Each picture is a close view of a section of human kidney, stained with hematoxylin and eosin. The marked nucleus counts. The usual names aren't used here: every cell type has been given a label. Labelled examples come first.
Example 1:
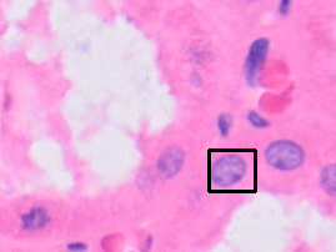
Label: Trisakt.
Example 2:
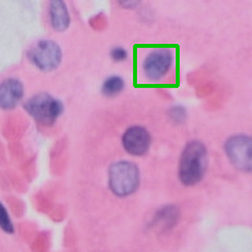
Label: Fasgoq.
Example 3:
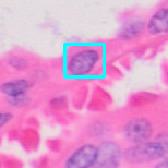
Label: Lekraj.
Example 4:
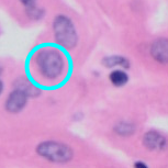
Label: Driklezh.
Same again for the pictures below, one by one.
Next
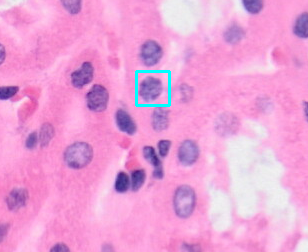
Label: Lekraj.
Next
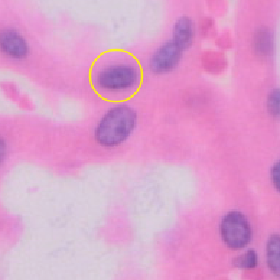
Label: Driklezh.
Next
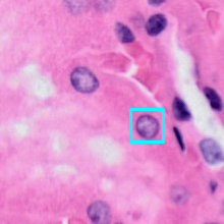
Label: Trisakt.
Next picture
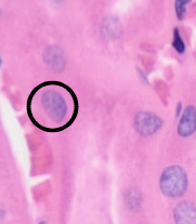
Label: Trisakt.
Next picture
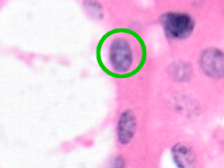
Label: Lekraj.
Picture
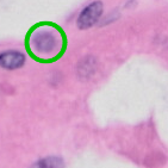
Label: Driklezh.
